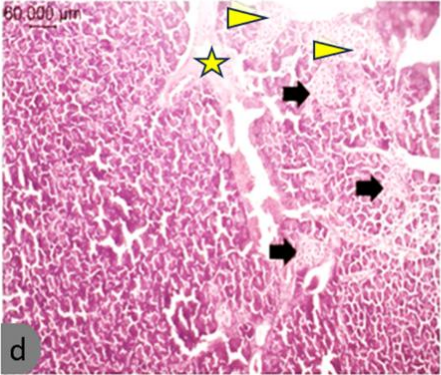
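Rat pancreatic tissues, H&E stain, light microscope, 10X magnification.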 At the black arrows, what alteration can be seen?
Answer: islet atrophy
